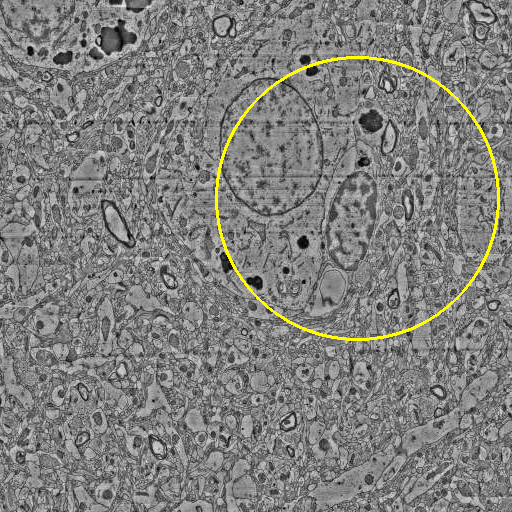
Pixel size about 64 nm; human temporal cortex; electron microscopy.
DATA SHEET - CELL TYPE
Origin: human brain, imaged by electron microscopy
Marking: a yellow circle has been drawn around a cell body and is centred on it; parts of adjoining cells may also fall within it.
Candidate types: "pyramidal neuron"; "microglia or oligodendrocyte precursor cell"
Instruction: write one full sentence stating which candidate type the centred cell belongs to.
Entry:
The cell body at the centre of the yellow ring in this micrograph belongs to a microglial cell or oligodendrocyte precursor cell.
